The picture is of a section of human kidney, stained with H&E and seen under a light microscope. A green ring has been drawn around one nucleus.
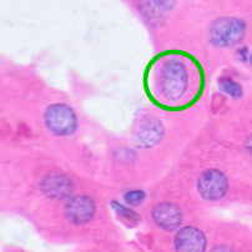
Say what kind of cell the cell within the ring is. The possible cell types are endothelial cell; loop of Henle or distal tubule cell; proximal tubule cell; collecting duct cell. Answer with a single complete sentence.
The cell meant here is a loop of Henle or distal tubule cell.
